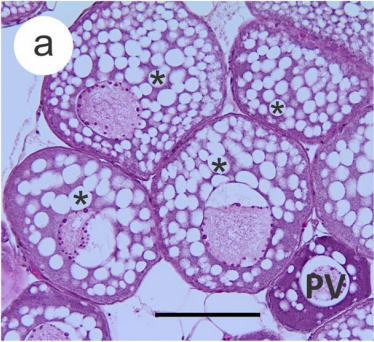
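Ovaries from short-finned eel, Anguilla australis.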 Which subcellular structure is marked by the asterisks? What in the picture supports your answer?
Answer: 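The asterisks sit on round, clear, unstained vacuoles in the oocyte cytoplasm. These vacuoles are of varied size and fill much of each oocyte.
Oil droplets.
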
